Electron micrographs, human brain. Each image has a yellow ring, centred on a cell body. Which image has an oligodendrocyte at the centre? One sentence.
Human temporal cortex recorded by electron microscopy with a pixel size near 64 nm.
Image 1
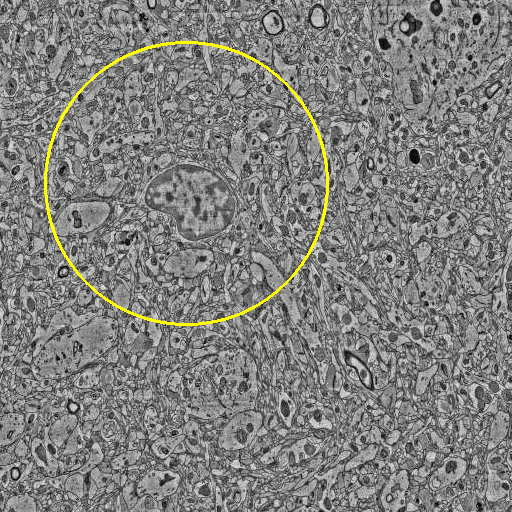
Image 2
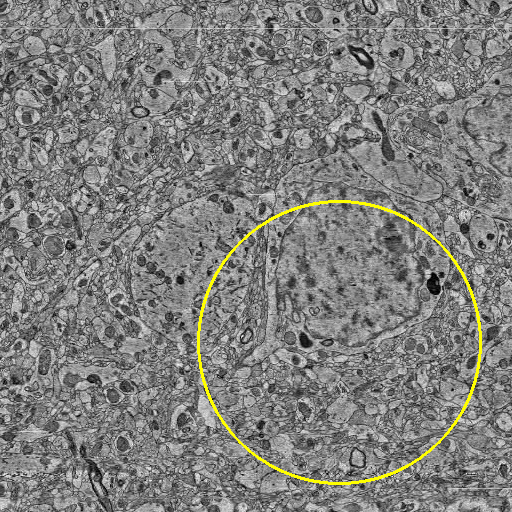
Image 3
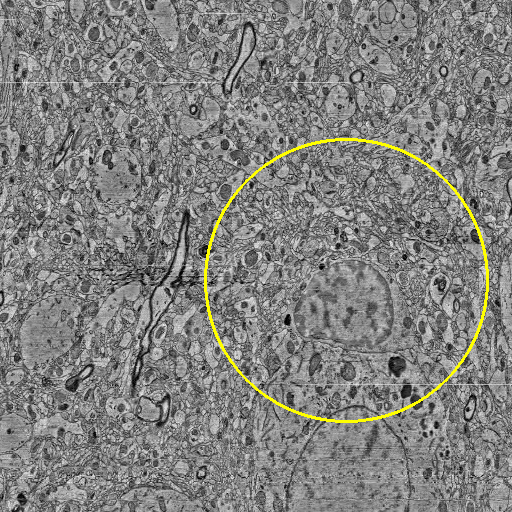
The ring in Image 3 is centred on it.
